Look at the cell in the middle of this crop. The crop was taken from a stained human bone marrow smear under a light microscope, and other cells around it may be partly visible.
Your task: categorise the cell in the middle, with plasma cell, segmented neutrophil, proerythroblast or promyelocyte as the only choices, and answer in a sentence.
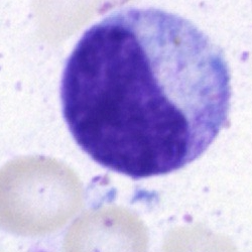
The middle of this crop is occupied by a promyelocyte.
